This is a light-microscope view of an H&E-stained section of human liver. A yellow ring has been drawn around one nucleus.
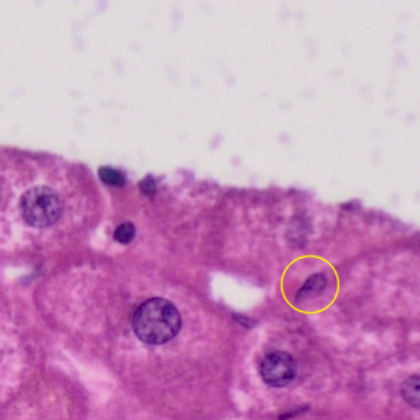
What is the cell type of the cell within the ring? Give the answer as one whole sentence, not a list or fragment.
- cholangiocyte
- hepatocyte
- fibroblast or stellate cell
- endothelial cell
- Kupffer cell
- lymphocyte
In the context of this tissue, the cell within the ring is an endothelial cell.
